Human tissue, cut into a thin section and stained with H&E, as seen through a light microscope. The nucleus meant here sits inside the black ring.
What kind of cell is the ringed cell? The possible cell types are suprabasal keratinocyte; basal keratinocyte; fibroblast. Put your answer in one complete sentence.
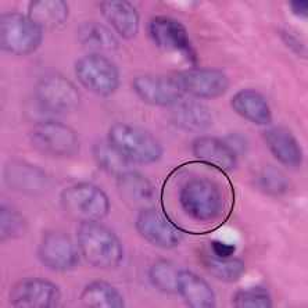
Right, so the ringed cell is a basal keratinocyte, to answer that.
